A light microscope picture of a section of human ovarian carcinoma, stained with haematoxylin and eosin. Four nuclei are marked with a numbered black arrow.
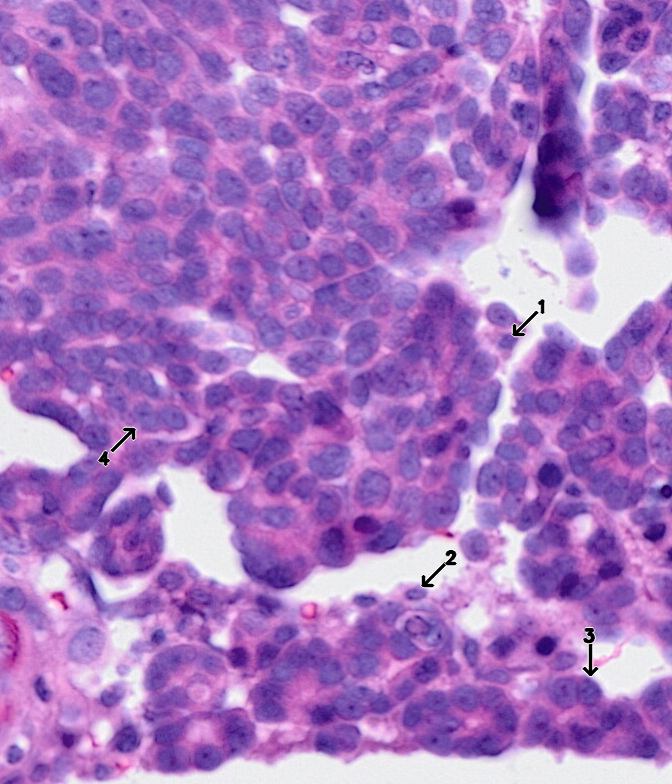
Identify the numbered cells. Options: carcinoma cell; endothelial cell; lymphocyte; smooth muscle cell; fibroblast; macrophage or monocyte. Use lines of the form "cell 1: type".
cell 1: macrophage or monocyte
cell 2: macrophage or monocyte
cell 3: carcinoma cell
cell 4: carcinoma cell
